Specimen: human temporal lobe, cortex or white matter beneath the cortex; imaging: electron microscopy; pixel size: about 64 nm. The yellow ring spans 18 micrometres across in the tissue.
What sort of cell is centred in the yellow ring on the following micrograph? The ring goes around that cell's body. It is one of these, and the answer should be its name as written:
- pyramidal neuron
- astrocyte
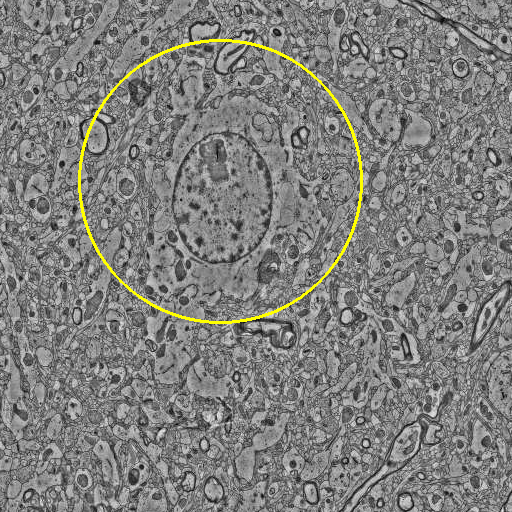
astrocyte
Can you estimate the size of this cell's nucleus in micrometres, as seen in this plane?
In this plane, the nucleus is roughly 8 by 6 micrometres.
